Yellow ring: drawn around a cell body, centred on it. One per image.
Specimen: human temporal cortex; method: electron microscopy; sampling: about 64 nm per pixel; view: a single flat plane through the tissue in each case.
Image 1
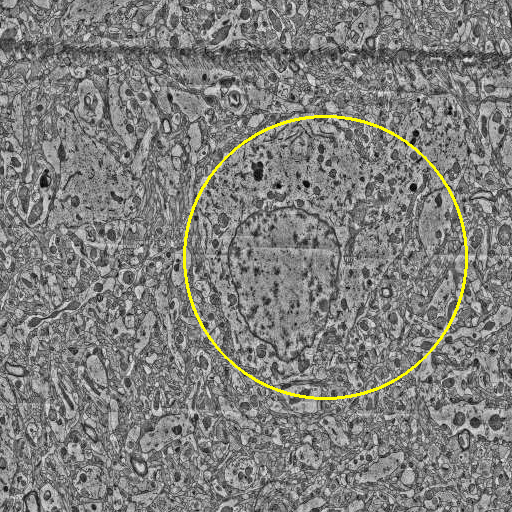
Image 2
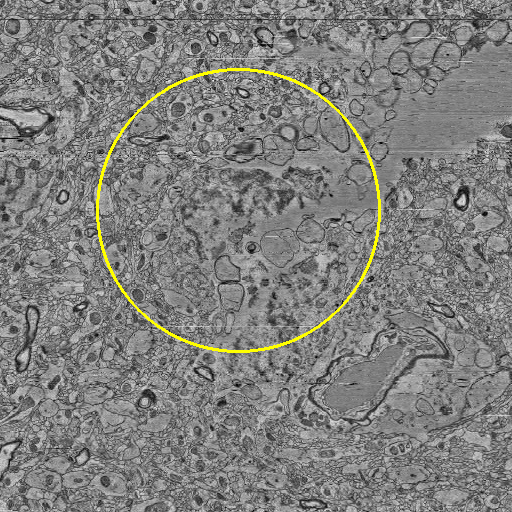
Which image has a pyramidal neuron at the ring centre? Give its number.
1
